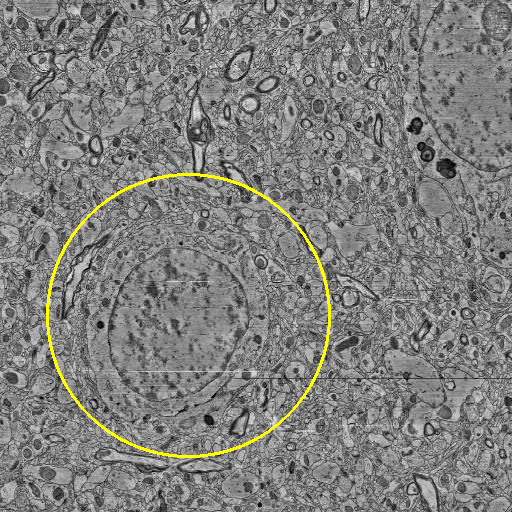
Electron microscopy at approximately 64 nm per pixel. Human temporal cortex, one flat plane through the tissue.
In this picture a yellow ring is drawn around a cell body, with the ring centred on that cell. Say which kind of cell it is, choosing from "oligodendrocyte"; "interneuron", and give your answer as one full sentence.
Here it is an interneuron that sits at the centre of the drawn yellow ring.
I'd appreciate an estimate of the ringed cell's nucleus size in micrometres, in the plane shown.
In this plane the nucleus is about 11 micrometres by 9.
